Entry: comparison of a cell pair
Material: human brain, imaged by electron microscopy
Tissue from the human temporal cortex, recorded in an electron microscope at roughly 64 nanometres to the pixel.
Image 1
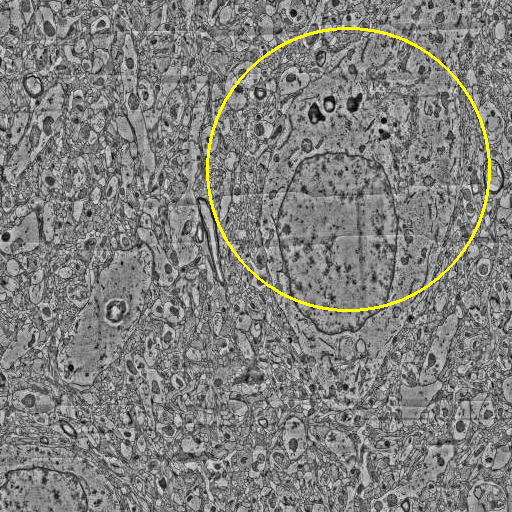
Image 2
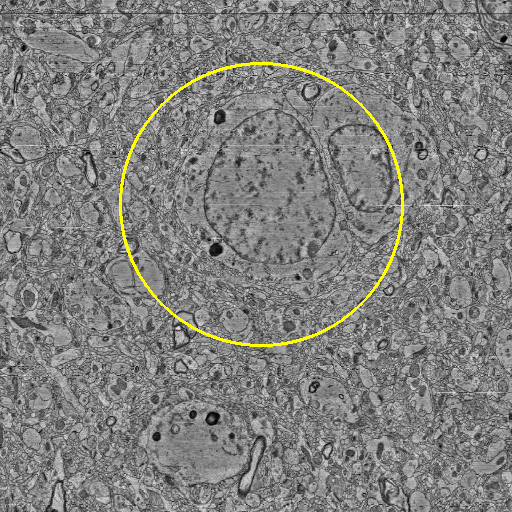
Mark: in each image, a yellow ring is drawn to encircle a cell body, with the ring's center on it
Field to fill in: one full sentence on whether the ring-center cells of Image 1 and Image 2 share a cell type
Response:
Yes, Image 1 and Image 2 each show a ring-center cell of one shared type.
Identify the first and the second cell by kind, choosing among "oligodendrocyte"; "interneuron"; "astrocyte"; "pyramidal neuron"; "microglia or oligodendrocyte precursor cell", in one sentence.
In each of the two pictures, the ringed cell is a pyramidal neuron.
